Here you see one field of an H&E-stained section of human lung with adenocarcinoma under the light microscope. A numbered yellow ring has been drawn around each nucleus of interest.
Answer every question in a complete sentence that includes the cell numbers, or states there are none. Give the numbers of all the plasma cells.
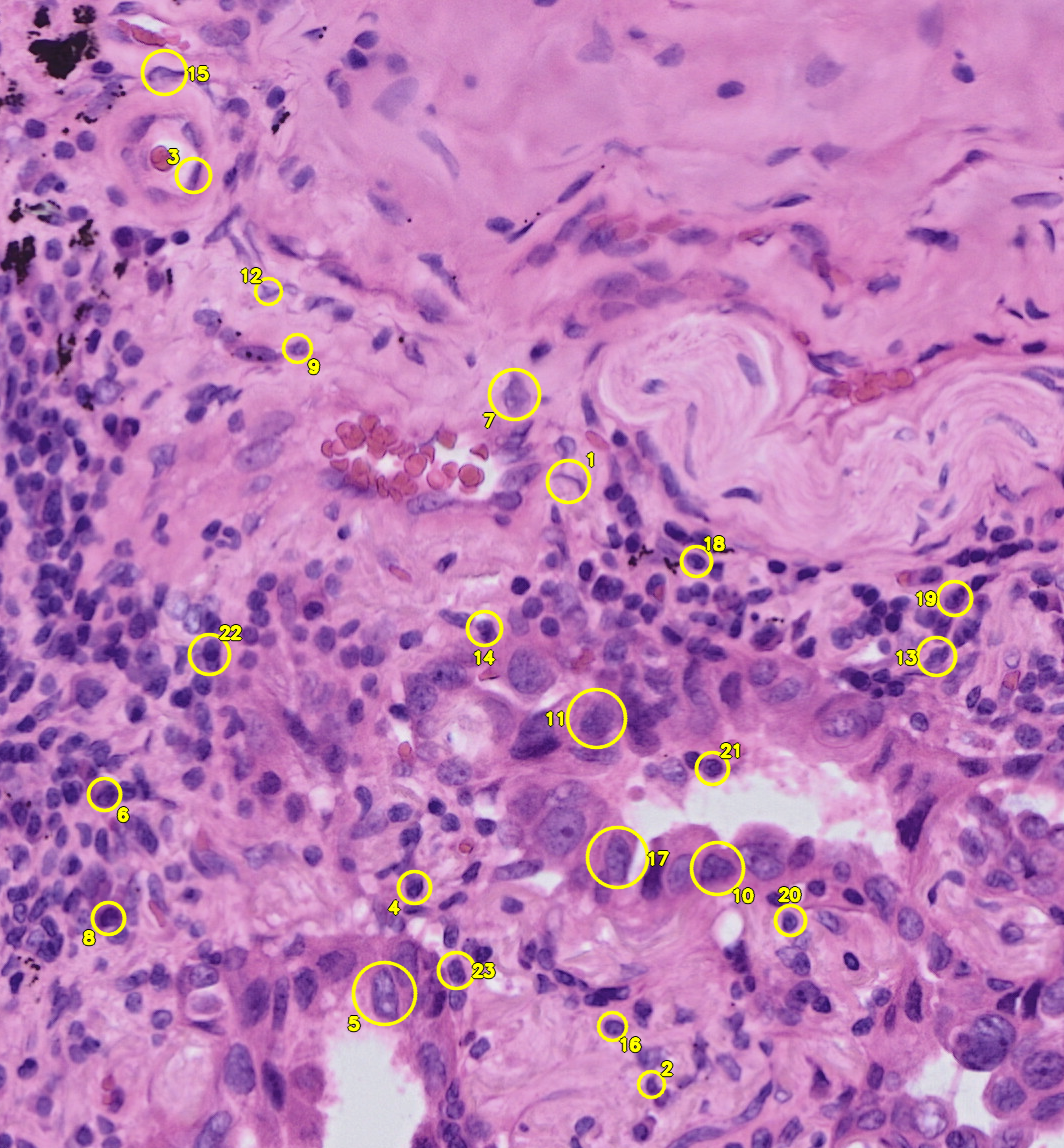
The cells to which the numbers 2, 6, 8 and 19 refer are plasma cells.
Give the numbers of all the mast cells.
The cells referred to by numbers 9 and 16 are mast cells.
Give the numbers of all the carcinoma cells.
Cells 5, 10, 11 and 17 are carcinoma cells by cell type.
